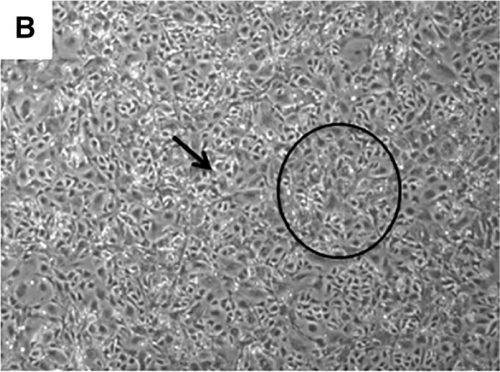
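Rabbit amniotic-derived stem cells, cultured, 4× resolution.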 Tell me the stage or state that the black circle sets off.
High confluence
